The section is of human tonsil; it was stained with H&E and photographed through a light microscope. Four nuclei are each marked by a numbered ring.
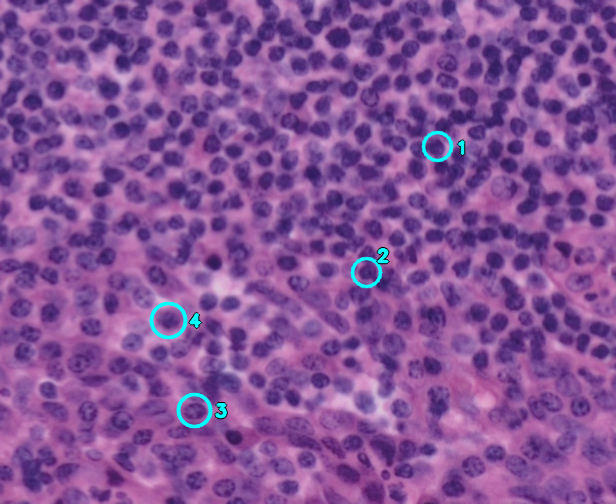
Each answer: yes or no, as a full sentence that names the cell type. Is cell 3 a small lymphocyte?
No, cell 3 is not a small lymphocyte, but is instead a plasma cell.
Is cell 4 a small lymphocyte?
No, the cell with the number 4 is a plasma cell, not a small lymphocyte.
